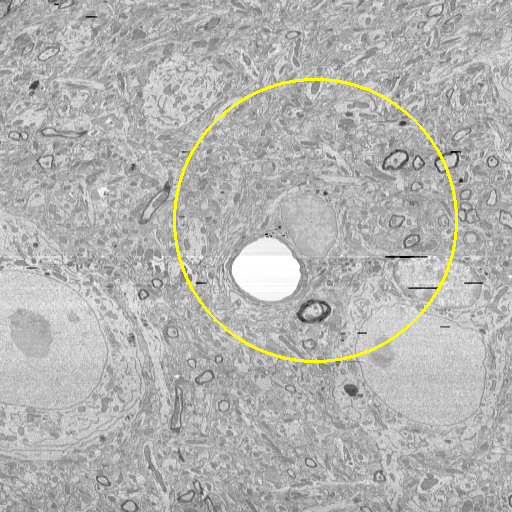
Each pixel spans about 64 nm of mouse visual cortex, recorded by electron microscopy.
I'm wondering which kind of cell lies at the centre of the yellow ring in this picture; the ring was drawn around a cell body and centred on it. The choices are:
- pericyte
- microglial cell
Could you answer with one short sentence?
At the centre of the ring lies a microglial cell.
